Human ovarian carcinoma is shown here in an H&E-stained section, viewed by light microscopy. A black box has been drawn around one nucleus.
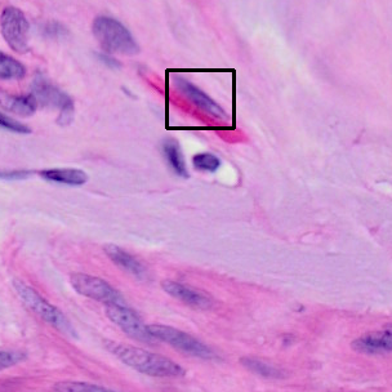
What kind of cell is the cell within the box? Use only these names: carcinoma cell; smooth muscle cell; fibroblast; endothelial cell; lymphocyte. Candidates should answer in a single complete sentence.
So far as cell type goes, the cell within the box is an endothelial cell.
